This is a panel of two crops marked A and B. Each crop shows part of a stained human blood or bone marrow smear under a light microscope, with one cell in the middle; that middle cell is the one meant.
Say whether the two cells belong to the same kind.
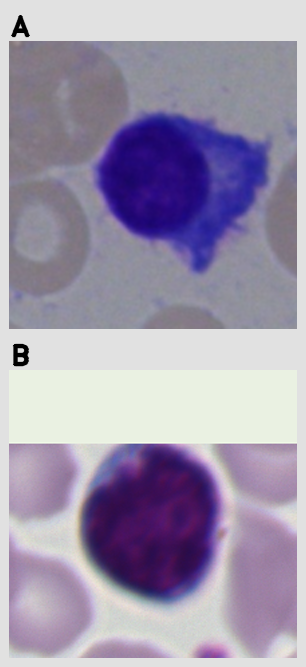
no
